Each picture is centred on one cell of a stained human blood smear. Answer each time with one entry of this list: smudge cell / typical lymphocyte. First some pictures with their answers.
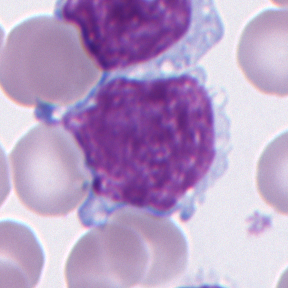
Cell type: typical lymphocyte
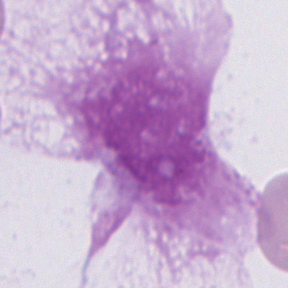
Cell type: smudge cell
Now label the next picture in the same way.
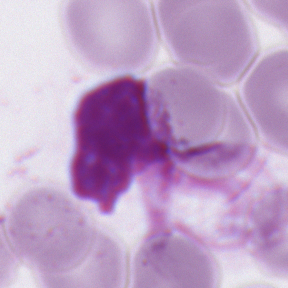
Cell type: smudge cell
